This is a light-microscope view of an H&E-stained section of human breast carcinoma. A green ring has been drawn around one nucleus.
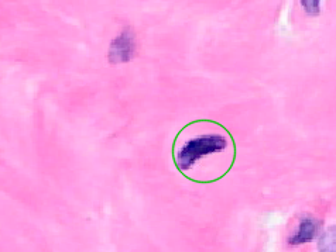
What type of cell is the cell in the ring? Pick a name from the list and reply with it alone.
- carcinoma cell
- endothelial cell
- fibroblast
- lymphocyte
lymphocyte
